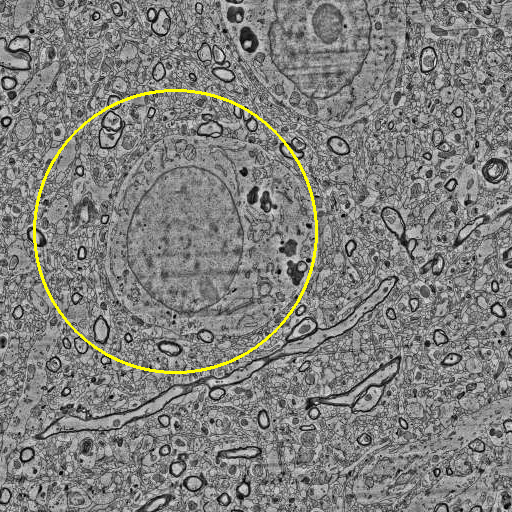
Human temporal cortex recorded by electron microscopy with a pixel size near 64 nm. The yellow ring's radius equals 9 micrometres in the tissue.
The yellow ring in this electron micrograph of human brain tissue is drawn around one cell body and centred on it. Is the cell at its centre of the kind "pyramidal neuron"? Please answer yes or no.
yes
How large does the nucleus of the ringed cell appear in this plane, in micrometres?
The nucleus comes to roughly 9 by 8 micrometres in this plane.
